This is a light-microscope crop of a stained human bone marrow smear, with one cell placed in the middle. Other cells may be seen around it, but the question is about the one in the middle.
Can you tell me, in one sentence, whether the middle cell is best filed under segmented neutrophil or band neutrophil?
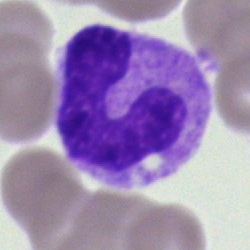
The single cell at the center of the crop is a band neutrophil.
